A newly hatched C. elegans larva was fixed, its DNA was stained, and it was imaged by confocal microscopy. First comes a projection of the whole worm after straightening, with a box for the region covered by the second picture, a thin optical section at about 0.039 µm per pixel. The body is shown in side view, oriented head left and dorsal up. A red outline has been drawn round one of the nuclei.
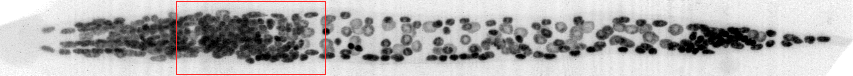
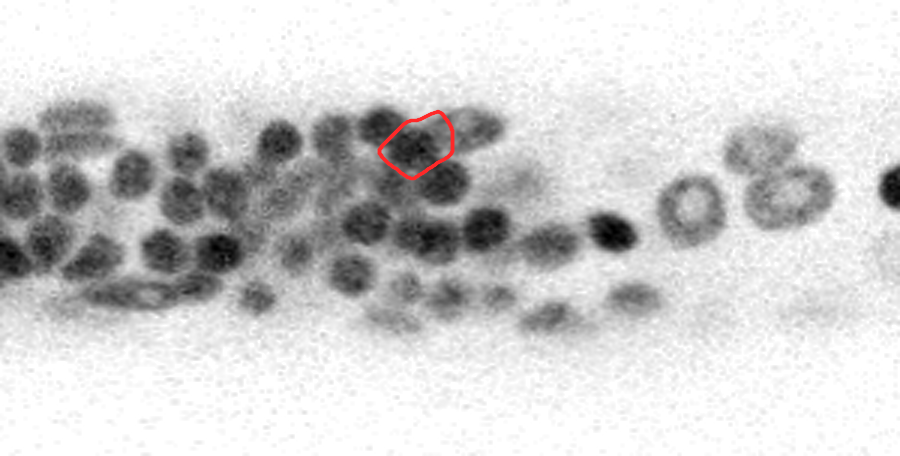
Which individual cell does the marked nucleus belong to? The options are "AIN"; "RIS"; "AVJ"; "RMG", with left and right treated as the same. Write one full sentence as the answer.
The nucleus is from AVJ, a neuron.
